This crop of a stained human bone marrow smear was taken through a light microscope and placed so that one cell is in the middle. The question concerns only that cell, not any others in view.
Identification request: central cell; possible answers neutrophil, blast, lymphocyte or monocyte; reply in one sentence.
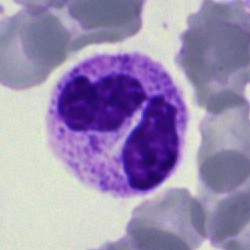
Here the cell in the middle is a neutrophil.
